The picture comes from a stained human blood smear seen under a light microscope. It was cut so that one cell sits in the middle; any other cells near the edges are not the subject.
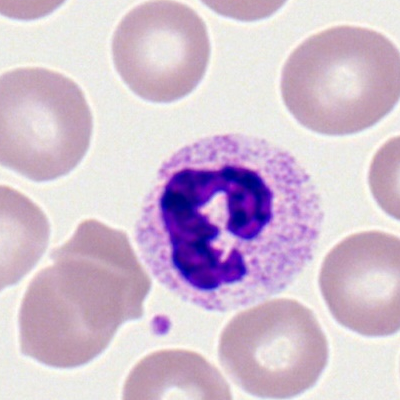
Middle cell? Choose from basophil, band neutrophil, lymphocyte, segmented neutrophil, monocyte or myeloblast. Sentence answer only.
To answer, the cell in the center of the crop is a segmented neutrophil.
